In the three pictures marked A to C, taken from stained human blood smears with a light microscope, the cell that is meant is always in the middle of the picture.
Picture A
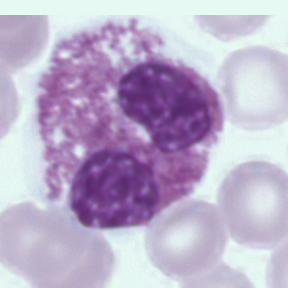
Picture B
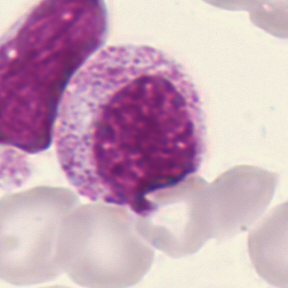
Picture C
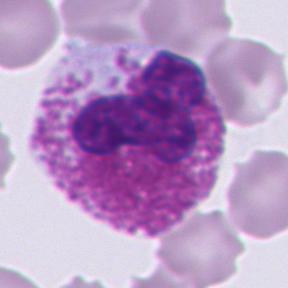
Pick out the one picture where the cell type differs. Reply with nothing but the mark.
B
